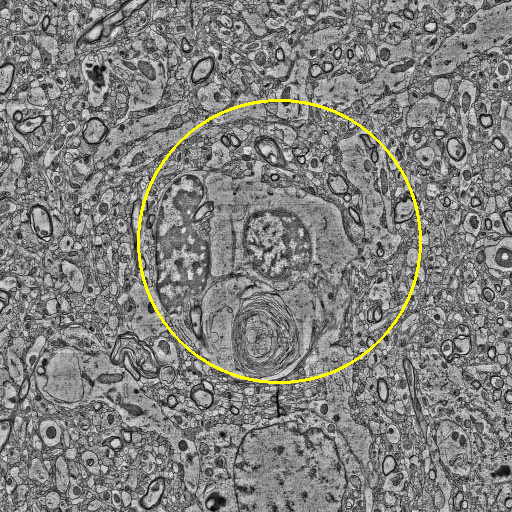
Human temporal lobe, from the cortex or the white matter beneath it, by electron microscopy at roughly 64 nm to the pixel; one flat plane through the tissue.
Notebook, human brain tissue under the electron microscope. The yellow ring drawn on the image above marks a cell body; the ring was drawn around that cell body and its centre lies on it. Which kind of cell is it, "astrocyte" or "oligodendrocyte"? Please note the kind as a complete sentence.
The marked cell body is that of an astrocyte.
